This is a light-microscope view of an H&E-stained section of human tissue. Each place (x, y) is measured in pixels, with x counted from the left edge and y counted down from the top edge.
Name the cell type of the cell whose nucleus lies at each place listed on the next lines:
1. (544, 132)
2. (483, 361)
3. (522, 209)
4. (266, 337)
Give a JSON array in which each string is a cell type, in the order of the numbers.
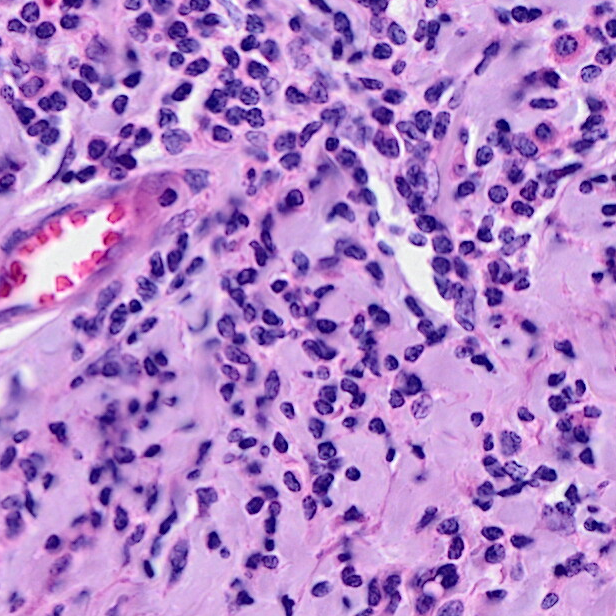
["mast cell", "lymphocyte", "lymphocyte", "lymphocyte"]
